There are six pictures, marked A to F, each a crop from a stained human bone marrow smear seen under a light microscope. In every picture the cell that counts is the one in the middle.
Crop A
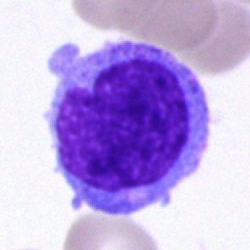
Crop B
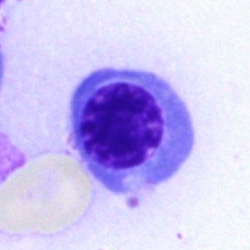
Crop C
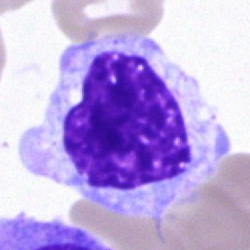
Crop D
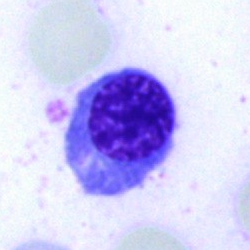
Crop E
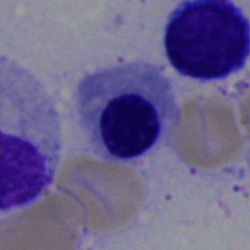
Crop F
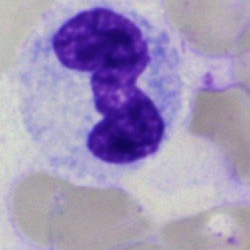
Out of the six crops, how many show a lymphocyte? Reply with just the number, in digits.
0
